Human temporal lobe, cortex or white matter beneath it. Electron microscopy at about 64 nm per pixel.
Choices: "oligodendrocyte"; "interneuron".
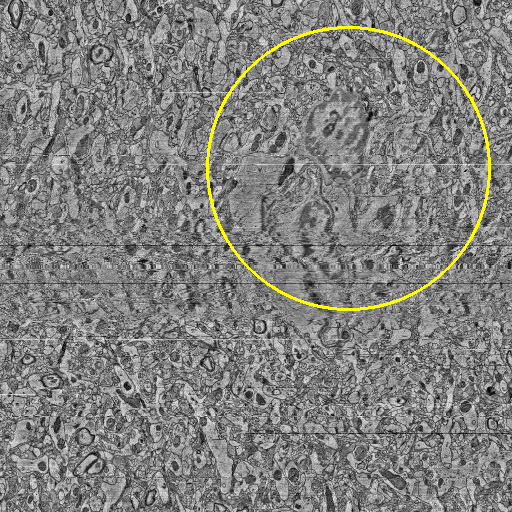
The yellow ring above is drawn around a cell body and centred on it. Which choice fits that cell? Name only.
oligodendrocyte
